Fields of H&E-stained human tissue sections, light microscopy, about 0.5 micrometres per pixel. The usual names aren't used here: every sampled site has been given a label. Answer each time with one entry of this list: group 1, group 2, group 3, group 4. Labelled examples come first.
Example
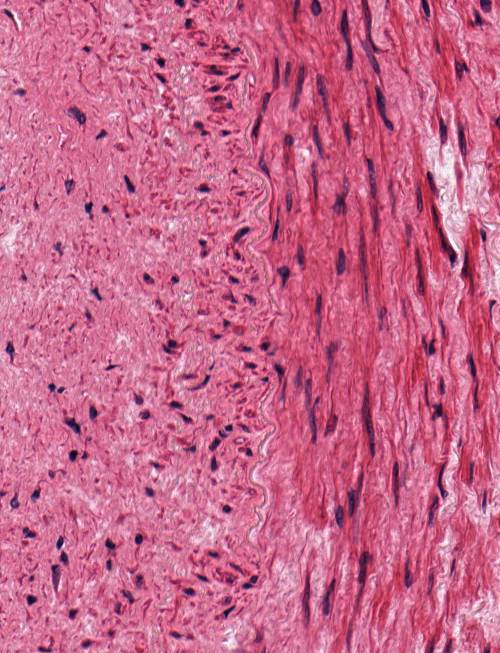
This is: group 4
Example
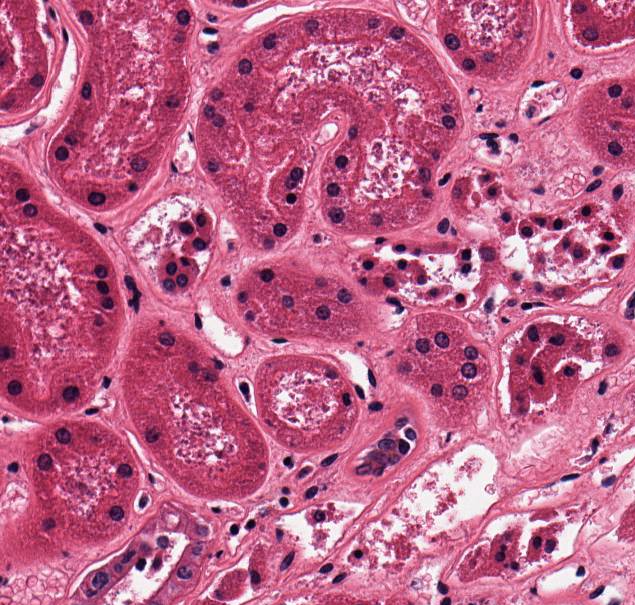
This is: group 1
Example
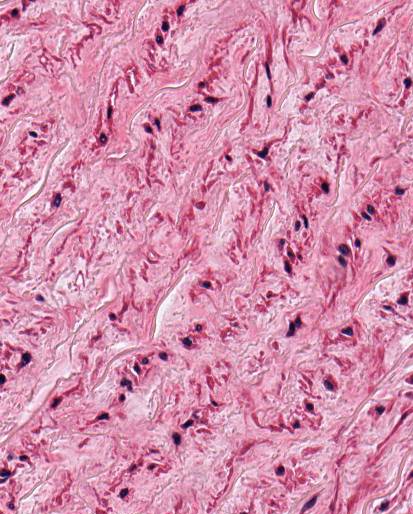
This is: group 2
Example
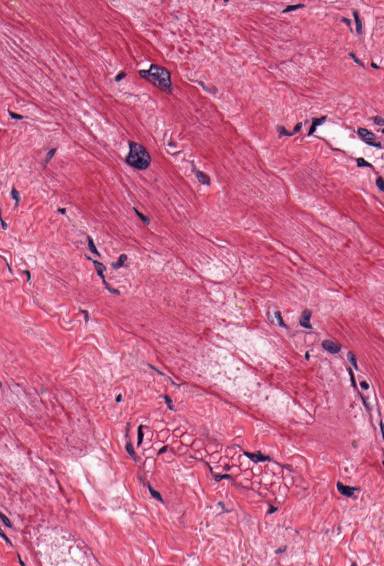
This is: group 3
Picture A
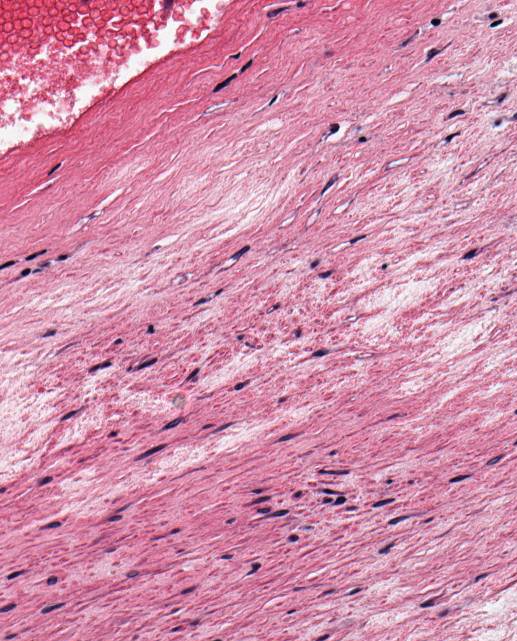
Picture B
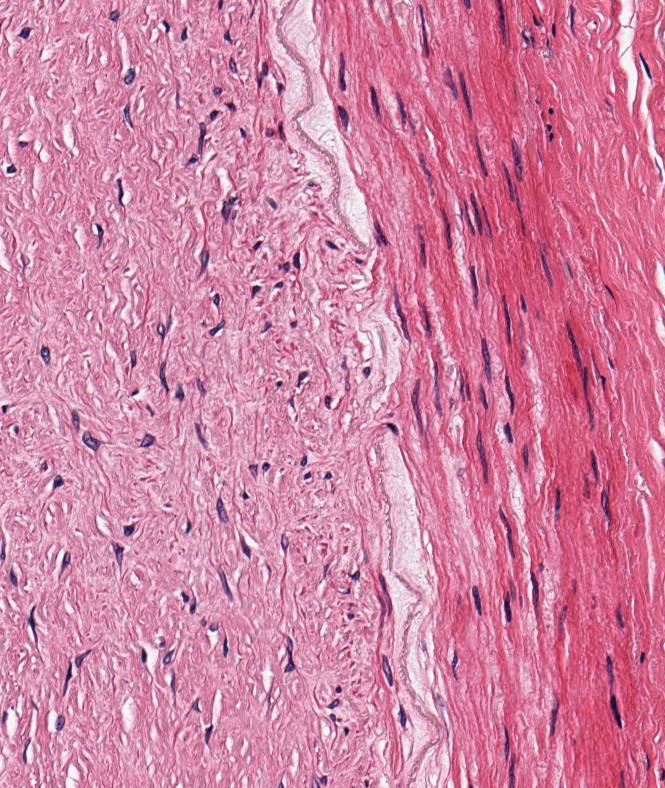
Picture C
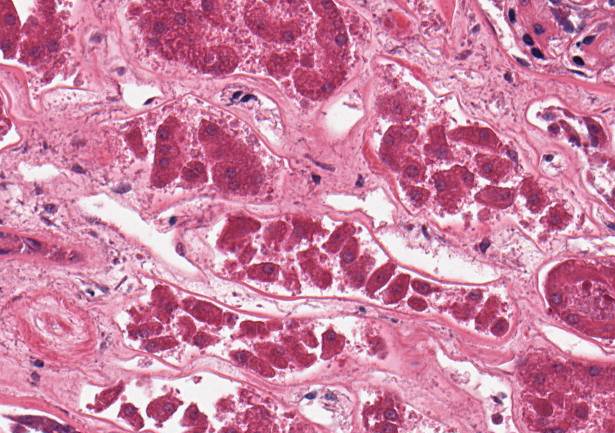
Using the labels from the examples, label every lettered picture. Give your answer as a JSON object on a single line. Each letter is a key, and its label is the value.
{"A": "group 4", "B": "group 4", "C": "group 1"}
